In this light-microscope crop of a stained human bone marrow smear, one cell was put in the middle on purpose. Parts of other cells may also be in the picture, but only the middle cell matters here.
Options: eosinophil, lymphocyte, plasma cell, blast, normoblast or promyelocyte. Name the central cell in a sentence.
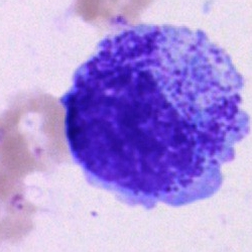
On this slide crop, the central cell is a promyelocyte.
